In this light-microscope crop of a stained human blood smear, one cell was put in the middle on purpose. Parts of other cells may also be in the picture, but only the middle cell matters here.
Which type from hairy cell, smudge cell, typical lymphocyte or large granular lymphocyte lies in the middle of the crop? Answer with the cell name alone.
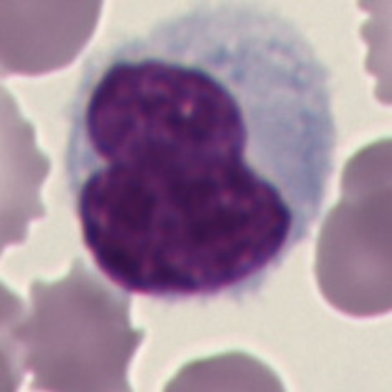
hairy cell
